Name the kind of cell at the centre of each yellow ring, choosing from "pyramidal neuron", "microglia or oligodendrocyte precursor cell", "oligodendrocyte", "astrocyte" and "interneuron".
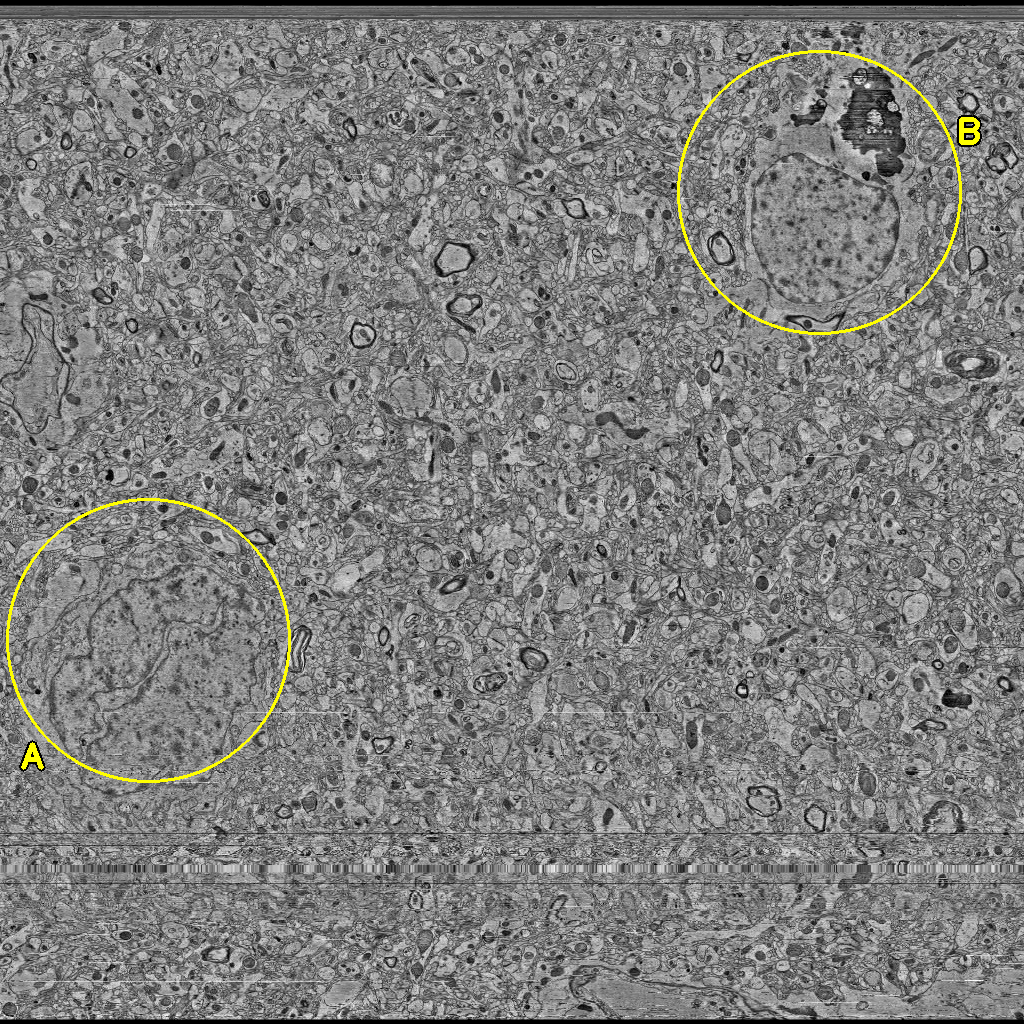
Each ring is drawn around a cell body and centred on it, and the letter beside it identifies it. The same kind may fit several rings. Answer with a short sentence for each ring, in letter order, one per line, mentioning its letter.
Ring A is drawn around an interneuron.
Ring B is drawn around an astrocyte.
